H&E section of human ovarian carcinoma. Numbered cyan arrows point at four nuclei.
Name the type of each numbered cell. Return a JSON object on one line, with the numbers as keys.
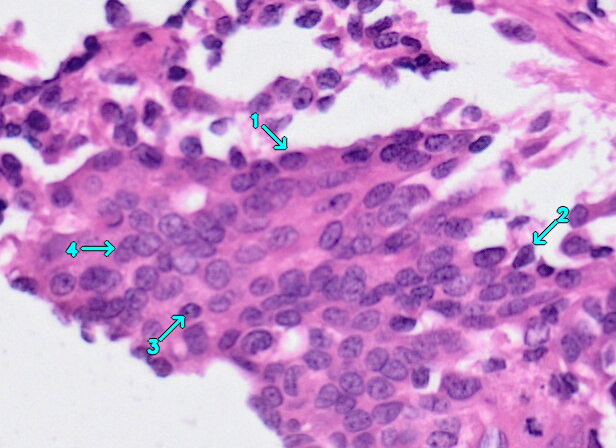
{"1": "carcinoma cell", "2": "carcinoma cell", "3": "macrophage or monocyte", "4": "carcinoma cell"}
